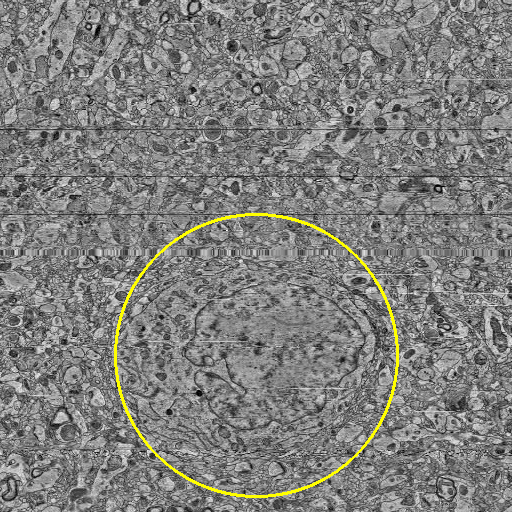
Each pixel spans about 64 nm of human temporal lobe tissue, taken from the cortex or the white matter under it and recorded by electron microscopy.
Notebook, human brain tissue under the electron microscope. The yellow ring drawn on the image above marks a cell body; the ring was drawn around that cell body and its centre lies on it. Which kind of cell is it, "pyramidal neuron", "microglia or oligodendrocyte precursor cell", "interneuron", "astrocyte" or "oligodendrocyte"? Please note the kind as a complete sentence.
The marked cell body is that of an interneuron.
